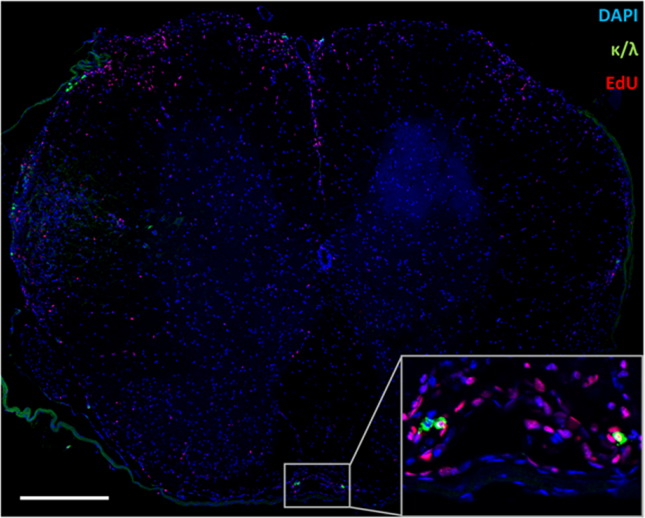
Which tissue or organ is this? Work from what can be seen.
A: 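Spinal cord. A whole round cross-section of an organ with a thin membrane around its edge. A midline septum divides the section into two symmetric halves. A small round canal-like profile lies near the centre.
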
